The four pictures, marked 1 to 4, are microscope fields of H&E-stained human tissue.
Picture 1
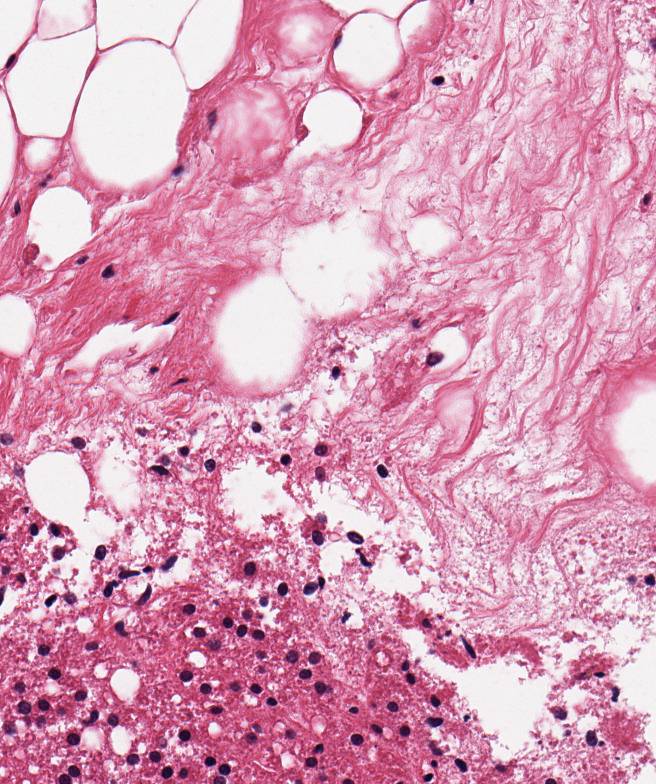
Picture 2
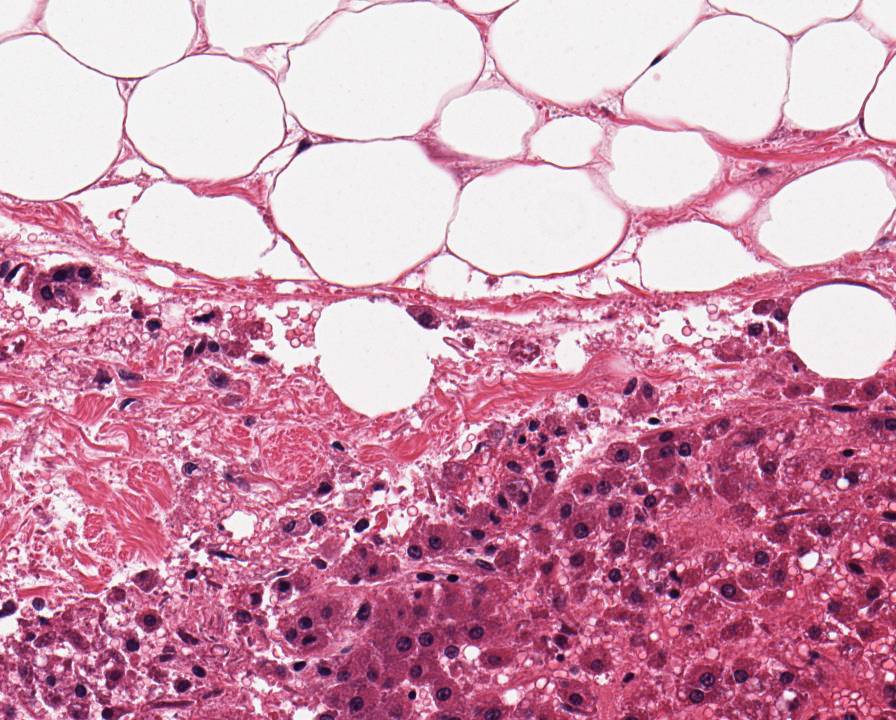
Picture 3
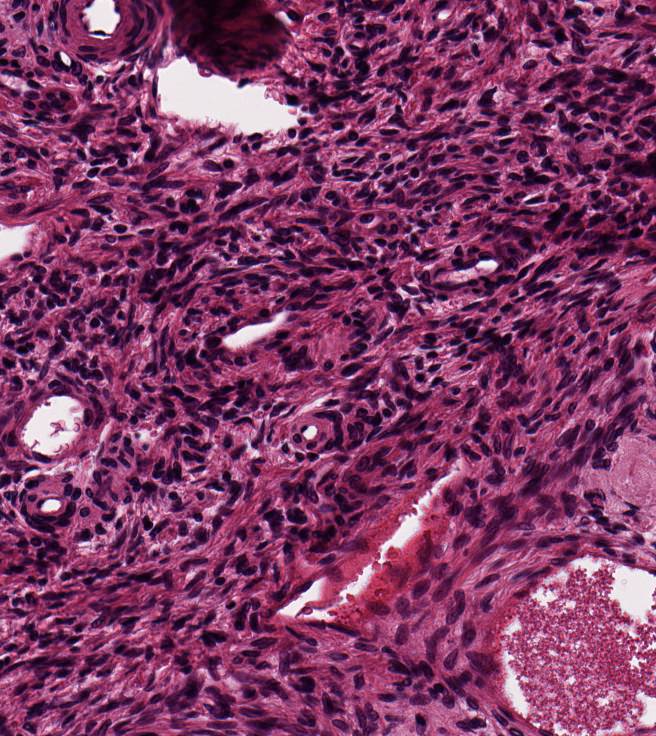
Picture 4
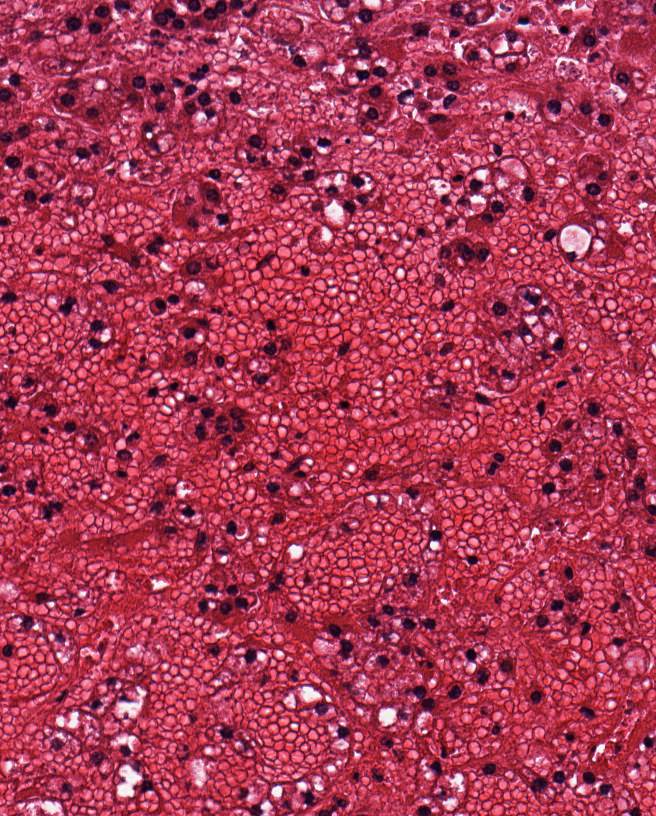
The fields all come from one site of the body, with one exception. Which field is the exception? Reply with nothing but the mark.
3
